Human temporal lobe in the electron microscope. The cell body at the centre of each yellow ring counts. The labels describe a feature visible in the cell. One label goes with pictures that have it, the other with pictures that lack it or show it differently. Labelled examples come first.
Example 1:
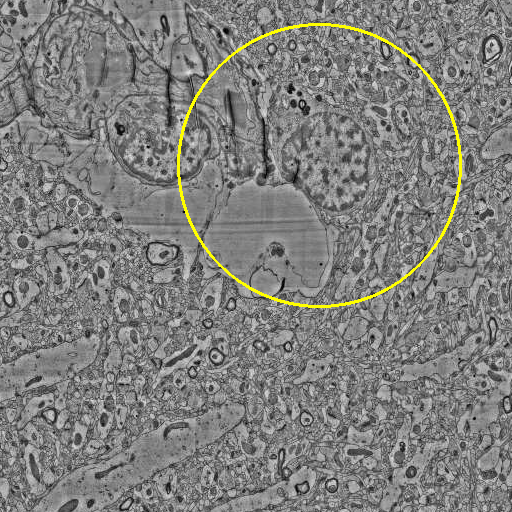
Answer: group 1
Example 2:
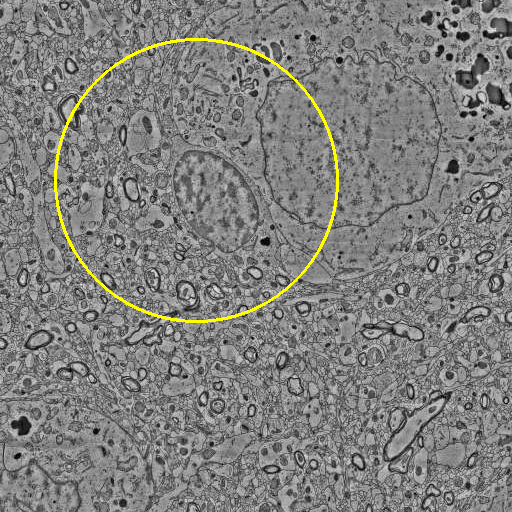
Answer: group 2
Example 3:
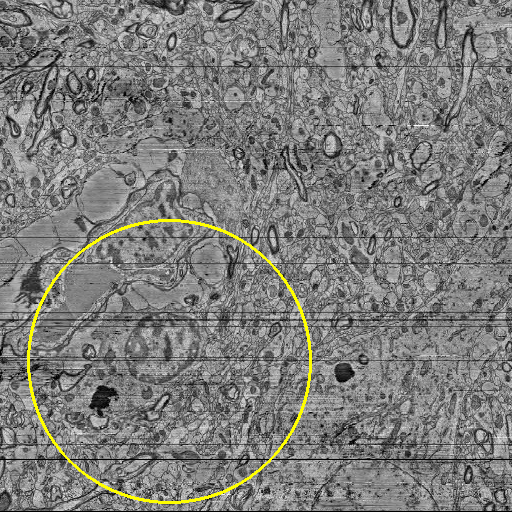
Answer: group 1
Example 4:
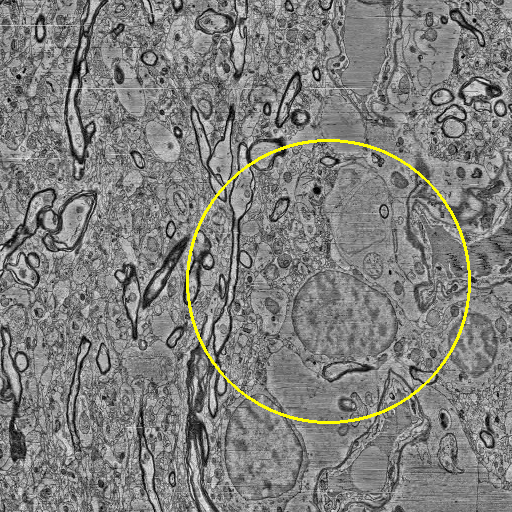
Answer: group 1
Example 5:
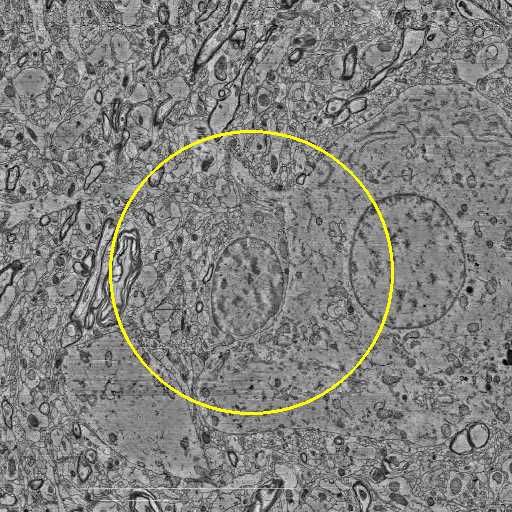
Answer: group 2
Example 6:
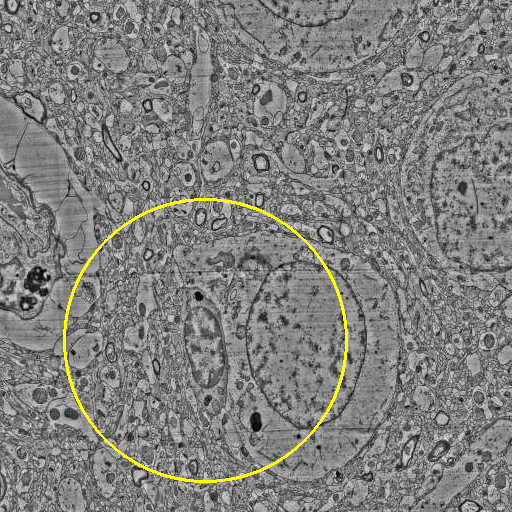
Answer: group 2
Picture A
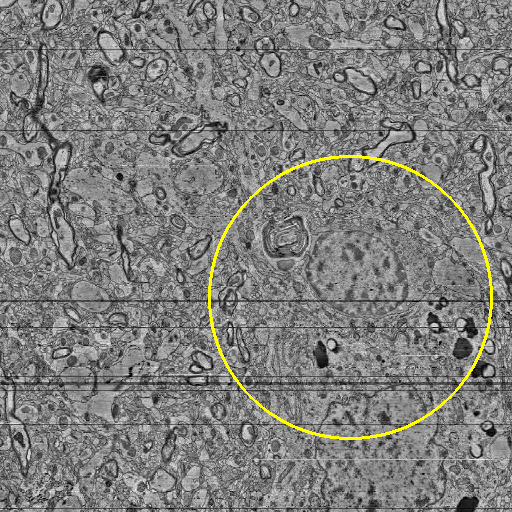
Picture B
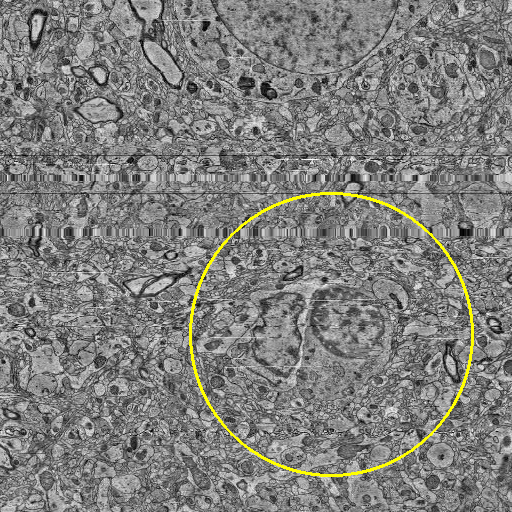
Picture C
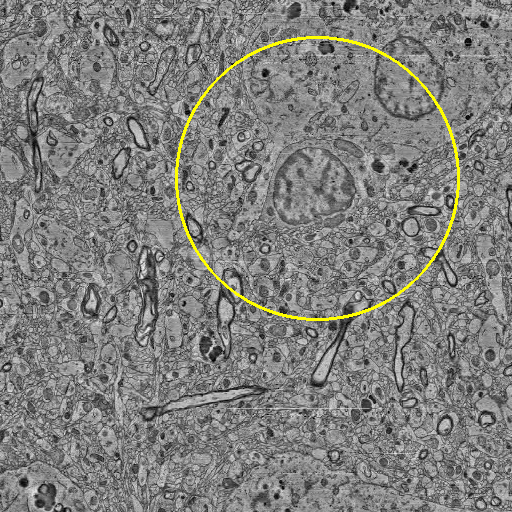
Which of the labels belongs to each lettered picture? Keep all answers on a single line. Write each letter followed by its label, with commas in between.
A group 1, B group 1, C group 1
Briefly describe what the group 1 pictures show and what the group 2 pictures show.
In group 1: round or nearly round nuclei. In group 2: clearly elongated nuclei.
